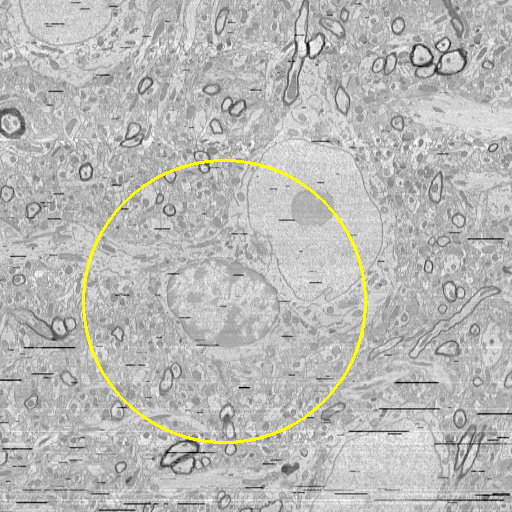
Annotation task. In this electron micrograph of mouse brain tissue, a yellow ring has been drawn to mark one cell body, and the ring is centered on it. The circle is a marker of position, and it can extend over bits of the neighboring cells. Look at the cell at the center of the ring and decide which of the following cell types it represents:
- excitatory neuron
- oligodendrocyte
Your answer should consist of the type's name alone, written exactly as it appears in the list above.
oligodendrocyte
